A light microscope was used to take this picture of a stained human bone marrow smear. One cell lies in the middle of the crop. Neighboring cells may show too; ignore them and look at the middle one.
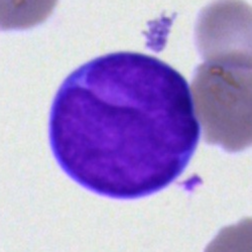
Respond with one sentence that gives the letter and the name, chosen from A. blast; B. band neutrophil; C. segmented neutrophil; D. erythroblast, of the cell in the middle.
Option A is the right choice, the central cell being a blast.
